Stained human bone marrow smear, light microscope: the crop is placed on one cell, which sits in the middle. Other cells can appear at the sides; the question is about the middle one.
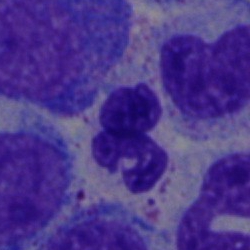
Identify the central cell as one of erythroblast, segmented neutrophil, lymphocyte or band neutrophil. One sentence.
The central cell shown in this smear crop is a segmented neutrophil.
